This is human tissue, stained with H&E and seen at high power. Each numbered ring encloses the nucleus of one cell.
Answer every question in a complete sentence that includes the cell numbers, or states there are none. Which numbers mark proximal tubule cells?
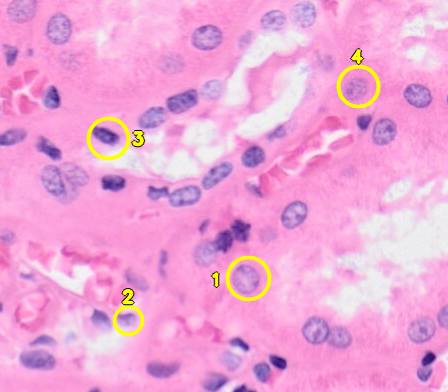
The cells numbered 1 and 4 are of the kind known as proximal tubule cells.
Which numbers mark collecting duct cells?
Of all the numbered cells, only cell 3 is a collecting duct cell.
